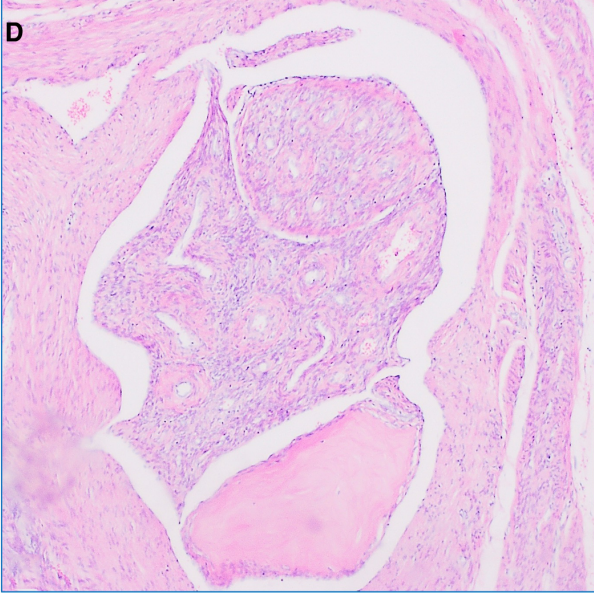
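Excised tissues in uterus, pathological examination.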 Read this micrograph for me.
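The lobes are made of packed spindle-shaped cells with elongated purple nuclei around many small vessels, and one lobe is a pale pink, nearly acellular area. Around the lumen the wall is made of layered pink spindle-cell tissue.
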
